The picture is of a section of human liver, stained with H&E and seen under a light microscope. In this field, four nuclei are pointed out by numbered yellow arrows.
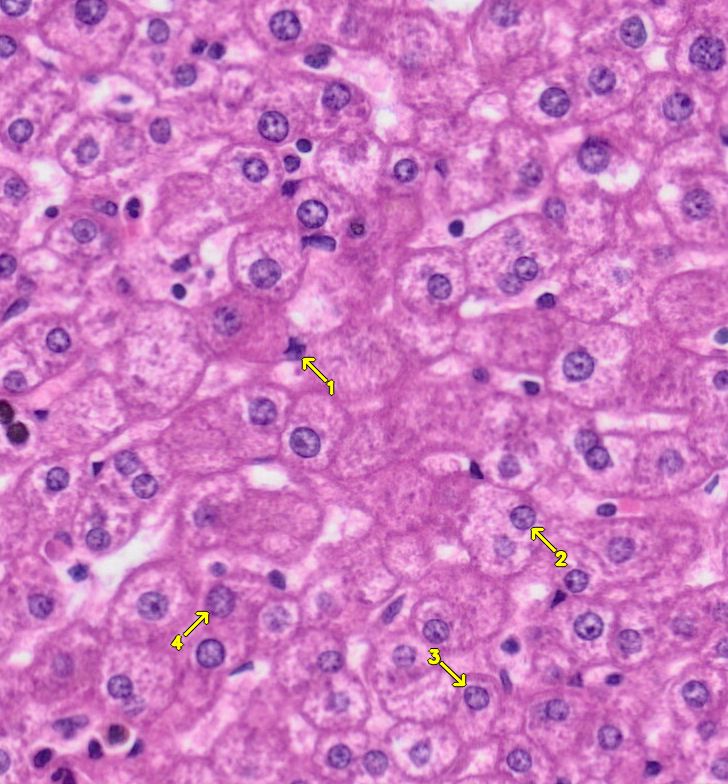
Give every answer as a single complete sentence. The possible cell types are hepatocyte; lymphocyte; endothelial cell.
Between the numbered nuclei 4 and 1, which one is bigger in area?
The larger nucleus is 4, at roughly 2 times the area of 1.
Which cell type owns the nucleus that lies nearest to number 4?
The nearest nucleus to number 4 belongs to a lymphocyte.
